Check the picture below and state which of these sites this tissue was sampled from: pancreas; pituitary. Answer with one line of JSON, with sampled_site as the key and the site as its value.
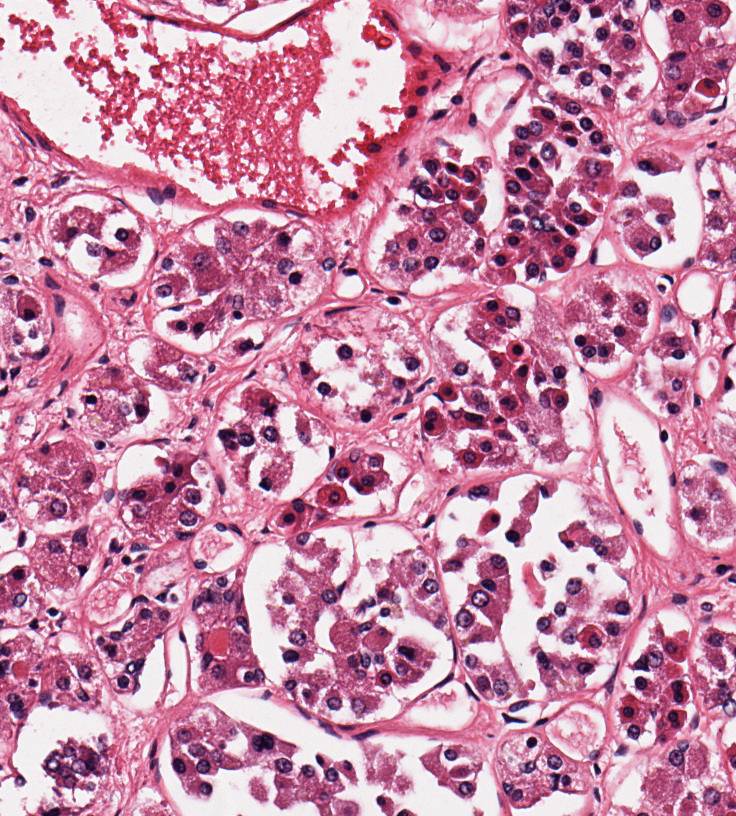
{"sampled_site": "pituitary"}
